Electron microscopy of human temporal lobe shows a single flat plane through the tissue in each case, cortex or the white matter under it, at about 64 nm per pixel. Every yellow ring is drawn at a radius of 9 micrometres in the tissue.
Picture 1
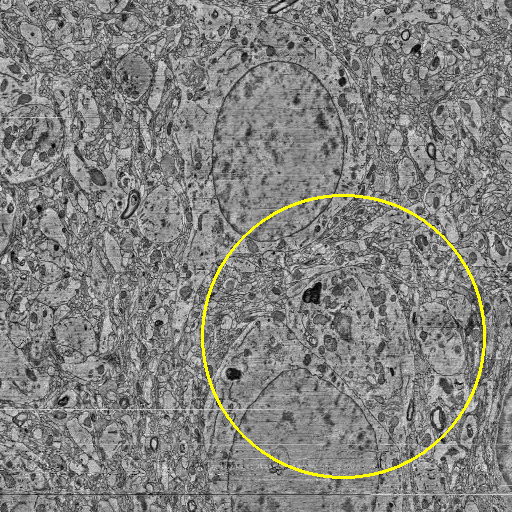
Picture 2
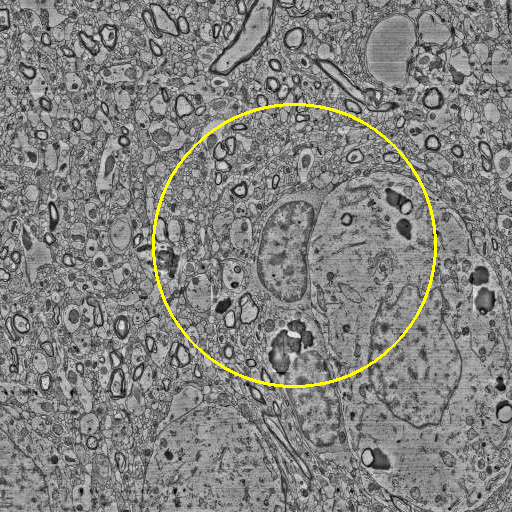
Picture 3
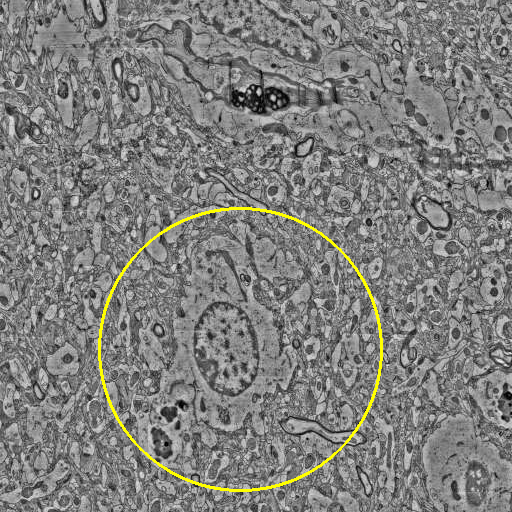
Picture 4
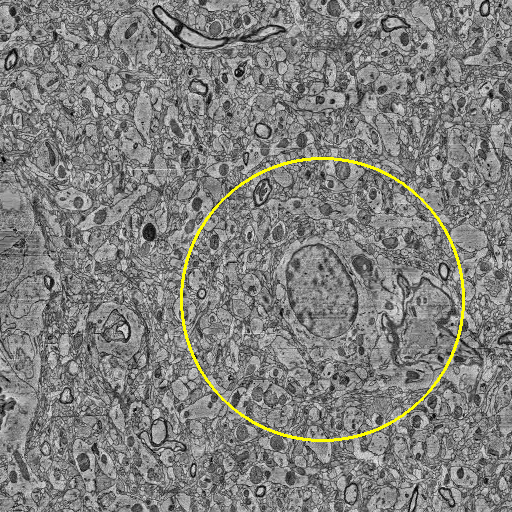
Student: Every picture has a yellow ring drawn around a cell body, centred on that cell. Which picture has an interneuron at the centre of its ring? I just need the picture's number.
1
